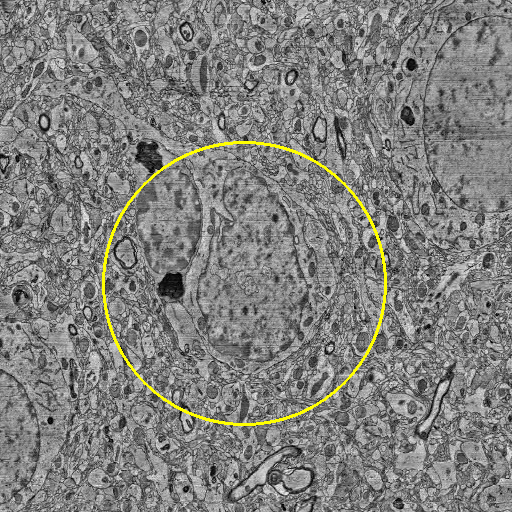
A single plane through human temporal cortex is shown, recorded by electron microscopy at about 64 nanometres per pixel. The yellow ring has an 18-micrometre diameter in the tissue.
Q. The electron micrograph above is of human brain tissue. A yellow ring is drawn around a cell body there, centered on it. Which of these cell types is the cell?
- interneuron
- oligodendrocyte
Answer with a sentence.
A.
The cell under the ring's center is an interneuron.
